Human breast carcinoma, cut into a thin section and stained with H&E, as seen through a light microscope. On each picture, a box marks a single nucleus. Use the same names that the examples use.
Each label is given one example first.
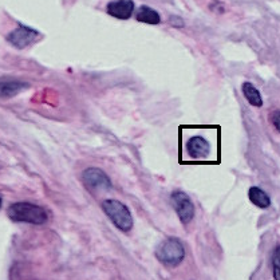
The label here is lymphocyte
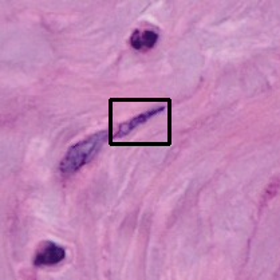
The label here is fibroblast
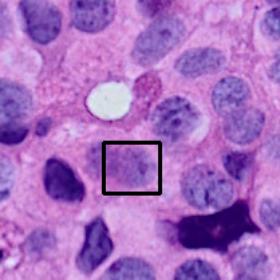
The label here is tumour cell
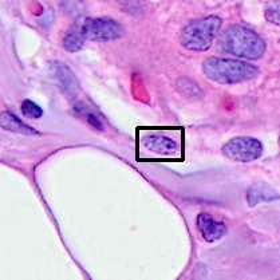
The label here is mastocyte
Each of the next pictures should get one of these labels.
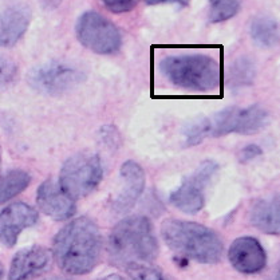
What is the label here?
tumour cell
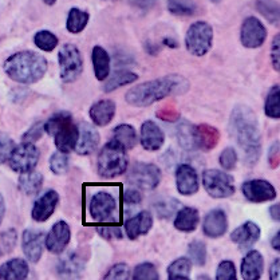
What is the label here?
lymphocyte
